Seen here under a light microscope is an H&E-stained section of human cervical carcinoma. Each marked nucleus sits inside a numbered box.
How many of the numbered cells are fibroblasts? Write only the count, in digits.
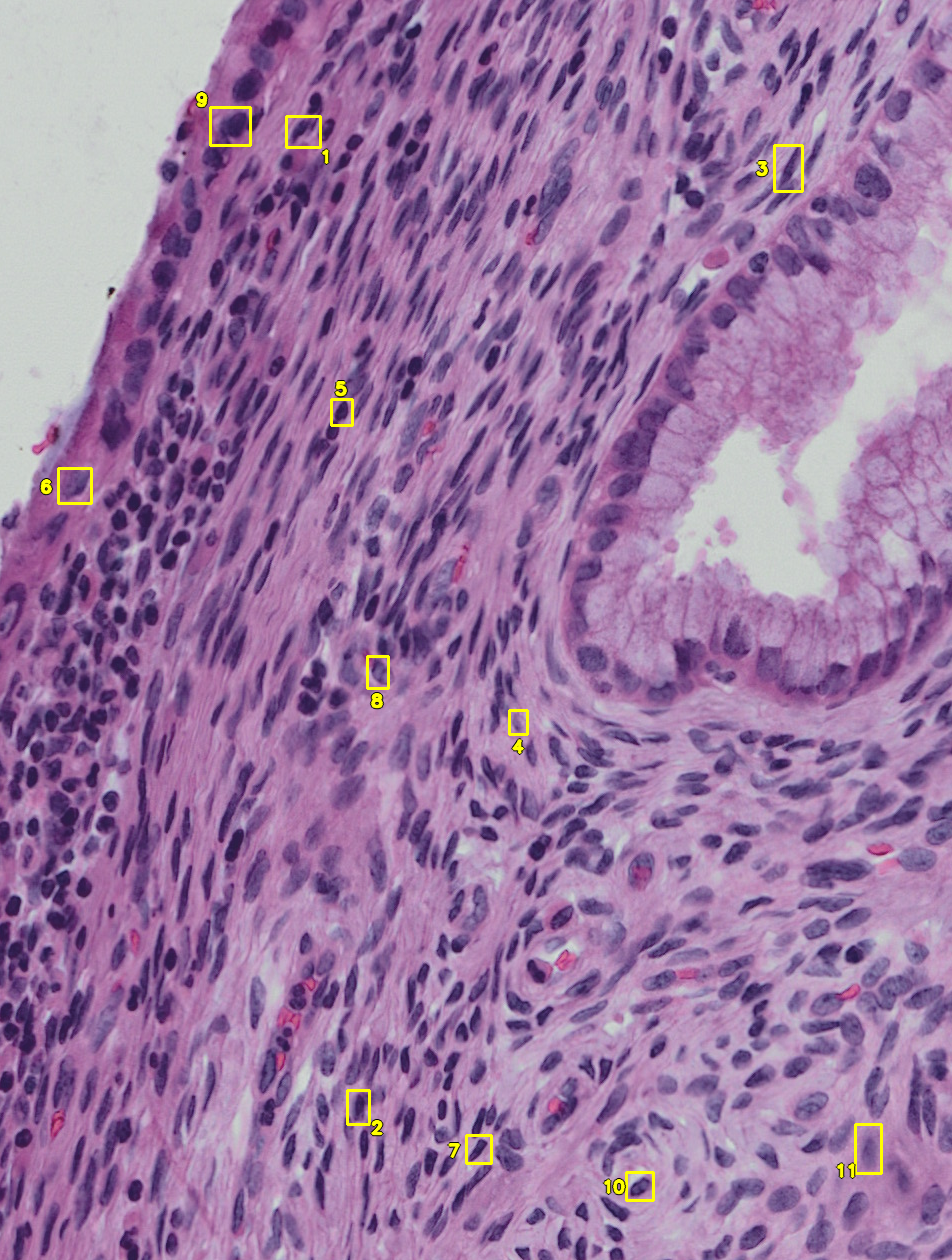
6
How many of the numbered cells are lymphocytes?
1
